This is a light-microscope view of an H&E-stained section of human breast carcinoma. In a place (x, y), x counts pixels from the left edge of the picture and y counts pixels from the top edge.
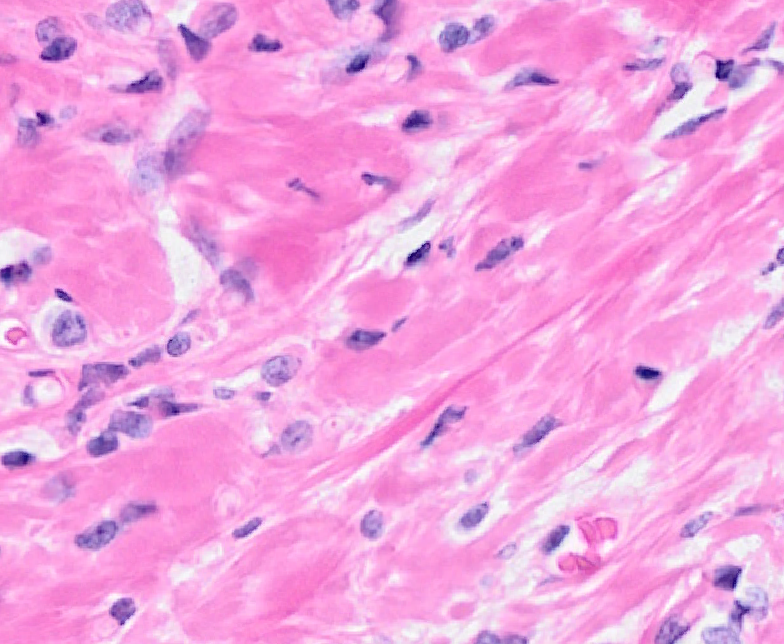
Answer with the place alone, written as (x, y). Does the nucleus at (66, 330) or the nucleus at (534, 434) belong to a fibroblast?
(534, 434)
